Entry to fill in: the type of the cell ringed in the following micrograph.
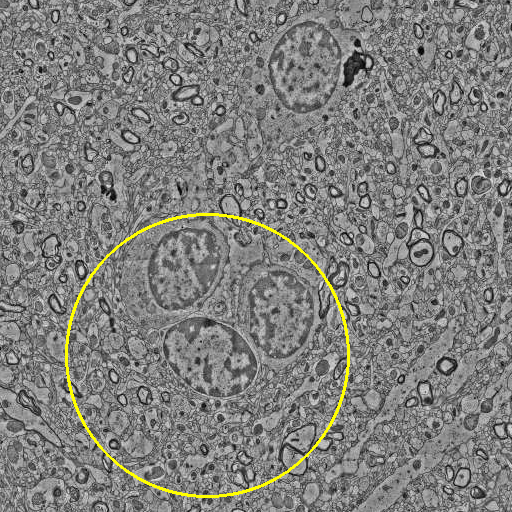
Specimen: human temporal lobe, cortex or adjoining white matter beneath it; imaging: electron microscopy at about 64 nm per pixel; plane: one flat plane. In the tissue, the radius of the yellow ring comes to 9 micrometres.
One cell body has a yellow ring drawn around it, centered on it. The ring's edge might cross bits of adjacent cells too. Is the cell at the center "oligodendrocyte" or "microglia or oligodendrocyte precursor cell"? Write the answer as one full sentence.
This entry names a microglial cell or oligodendrocyte precursor cell as the cell whose body lies at the ring's center.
